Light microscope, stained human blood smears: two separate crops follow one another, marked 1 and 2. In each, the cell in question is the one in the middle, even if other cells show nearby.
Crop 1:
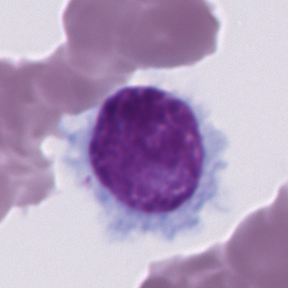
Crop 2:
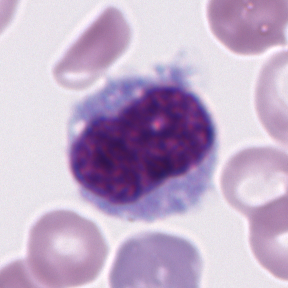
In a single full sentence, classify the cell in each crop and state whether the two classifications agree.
No, crop 1 shows a hairy cell, and the cell in crop 2 is a monocyte.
